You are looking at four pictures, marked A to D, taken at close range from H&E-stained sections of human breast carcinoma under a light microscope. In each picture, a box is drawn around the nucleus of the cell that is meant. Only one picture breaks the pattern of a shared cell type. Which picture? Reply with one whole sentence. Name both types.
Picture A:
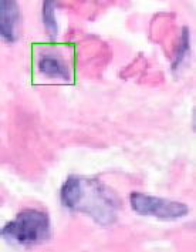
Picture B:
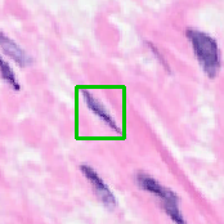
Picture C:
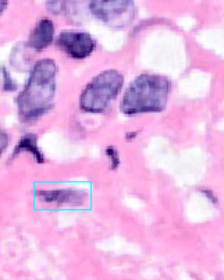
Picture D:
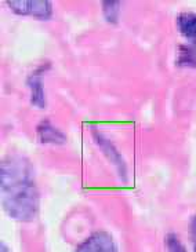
Picture A is the odd one out: it shows an endothelial cell, while the others show fibroblasts.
